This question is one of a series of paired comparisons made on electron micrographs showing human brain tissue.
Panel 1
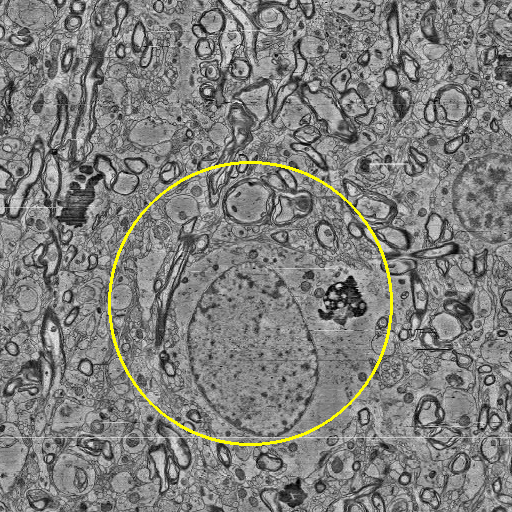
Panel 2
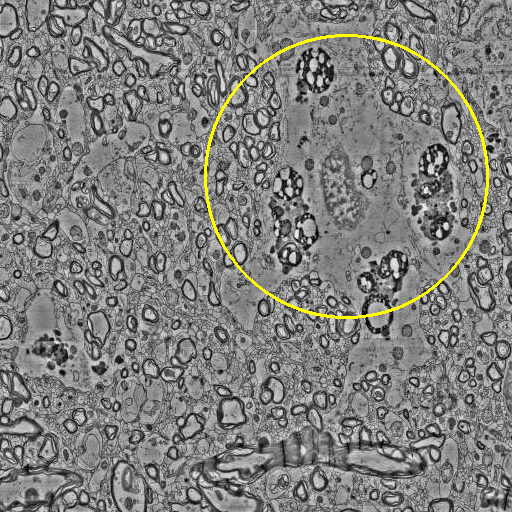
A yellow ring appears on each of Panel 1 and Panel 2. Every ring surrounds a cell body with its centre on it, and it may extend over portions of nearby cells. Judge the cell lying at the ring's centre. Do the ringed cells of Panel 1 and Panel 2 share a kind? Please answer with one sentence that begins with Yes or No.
Yes, the ring-centre cell in Panel 1 and the one in Panel 2 are of one kind.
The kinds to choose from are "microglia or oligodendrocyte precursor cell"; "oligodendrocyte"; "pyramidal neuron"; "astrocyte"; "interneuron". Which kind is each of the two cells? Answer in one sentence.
Each cell at the centre of a ring is an astrocyte.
